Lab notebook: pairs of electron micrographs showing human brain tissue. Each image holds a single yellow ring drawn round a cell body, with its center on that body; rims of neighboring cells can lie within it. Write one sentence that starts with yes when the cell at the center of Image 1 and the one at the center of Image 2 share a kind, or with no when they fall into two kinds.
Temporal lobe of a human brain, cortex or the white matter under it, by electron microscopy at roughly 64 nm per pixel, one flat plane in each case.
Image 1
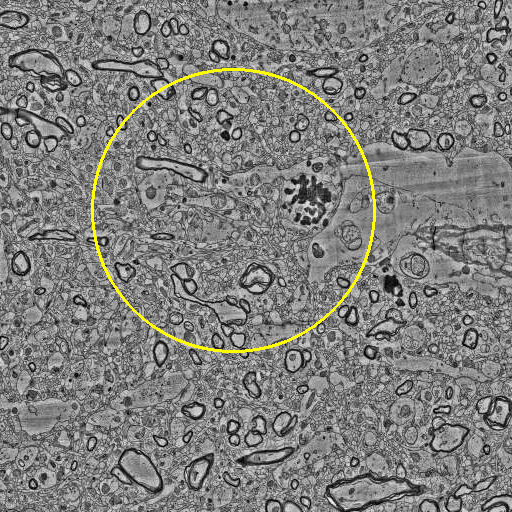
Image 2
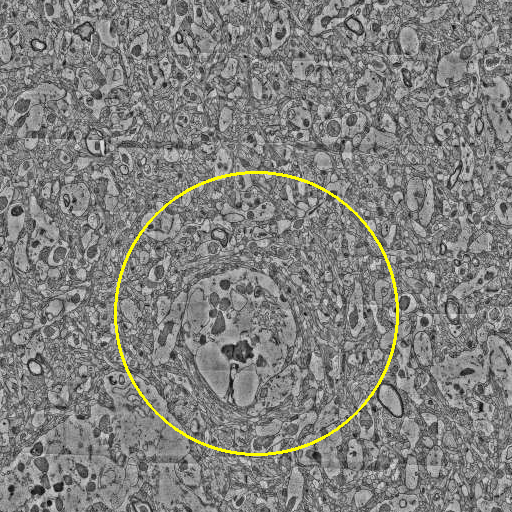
No, the centered cell in Image 1 and the centered cell in Image 2 are of two kinds.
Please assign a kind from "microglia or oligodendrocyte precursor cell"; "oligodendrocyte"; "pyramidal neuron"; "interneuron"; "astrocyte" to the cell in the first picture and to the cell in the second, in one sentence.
In the first picture we have an oligodendrocyte, and in the second, an astrocyte.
